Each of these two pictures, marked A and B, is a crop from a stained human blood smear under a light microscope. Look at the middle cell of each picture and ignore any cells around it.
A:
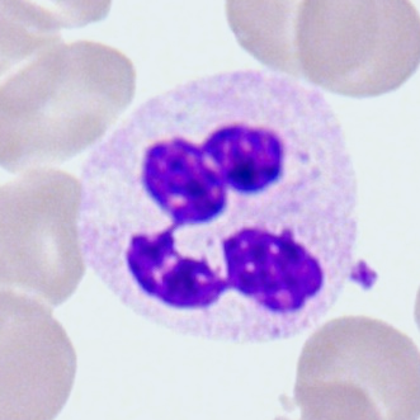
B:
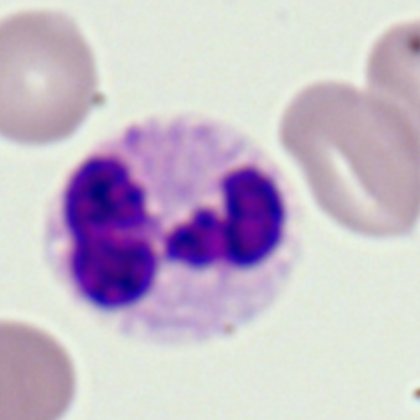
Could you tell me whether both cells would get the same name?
yes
